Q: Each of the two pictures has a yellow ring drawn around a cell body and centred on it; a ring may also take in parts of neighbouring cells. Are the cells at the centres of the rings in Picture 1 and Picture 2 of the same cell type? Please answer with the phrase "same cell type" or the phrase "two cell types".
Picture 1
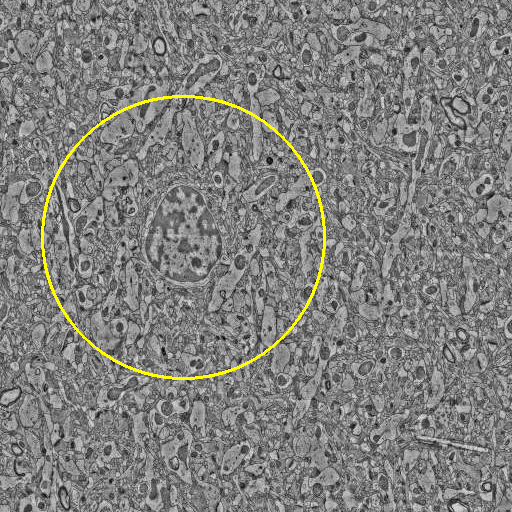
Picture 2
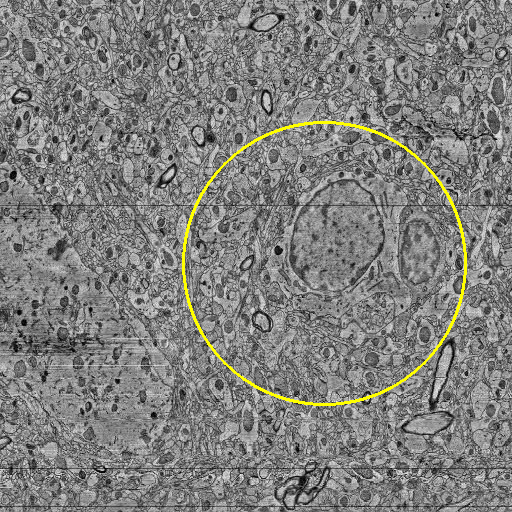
same cell type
